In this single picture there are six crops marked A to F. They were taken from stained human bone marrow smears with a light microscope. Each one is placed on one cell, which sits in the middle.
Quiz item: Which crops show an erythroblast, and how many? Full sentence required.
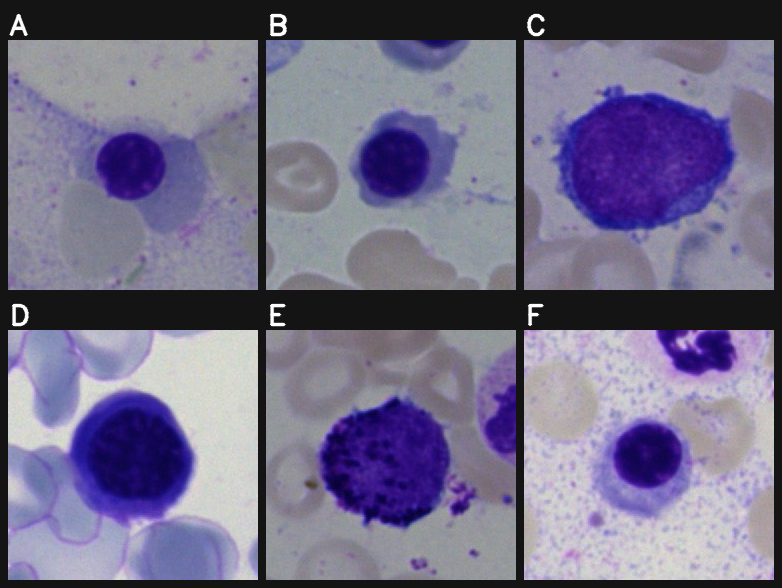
Crops A, B, D and F show erythroblasts, which makes four such crops.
